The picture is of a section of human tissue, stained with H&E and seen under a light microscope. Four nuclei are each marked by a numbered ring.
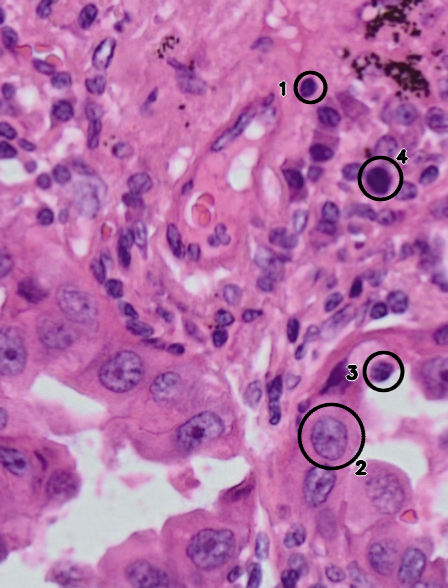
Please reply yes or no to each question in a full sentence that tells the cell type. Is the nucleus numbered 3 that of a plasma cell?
No, cell 3 should be classed as a lymphocyte, not as a plasma cell.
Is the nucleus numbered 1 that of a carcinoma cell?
No, a lymphocyte is what cell 1 is, not a carcinoma cell.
